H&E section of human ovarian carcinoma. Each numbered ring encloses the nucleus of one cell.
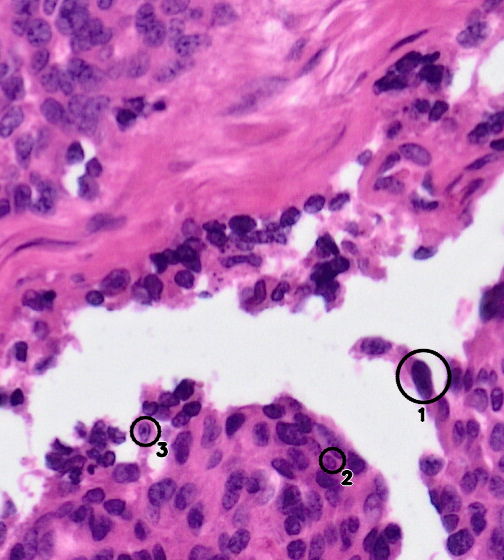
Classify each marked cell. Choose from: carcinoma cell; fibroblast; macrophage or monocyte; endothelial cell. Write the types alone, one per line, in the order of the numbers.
carcinoma cell
carcinoma cell
macrophage or monocyte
